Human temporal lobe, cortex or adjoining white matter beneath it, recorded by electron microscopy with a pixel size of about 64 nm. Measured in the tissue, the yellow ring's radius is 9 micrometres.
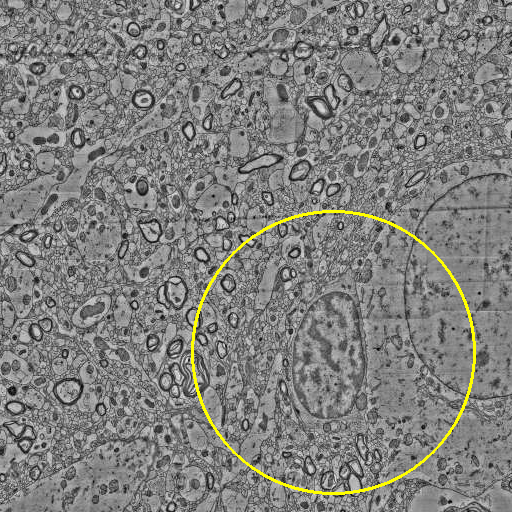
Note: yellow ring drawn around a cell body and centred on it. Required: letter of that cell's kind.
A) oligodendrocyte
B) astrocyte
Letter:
A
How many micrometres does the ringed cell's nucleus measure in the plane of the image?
About 8 by 5 micrometers in this plane, so the nucleus is clearly longer than it is wide.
